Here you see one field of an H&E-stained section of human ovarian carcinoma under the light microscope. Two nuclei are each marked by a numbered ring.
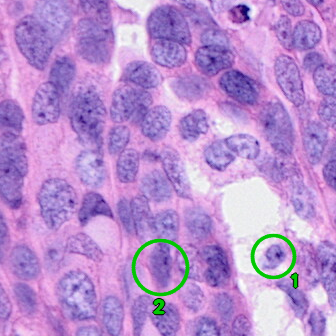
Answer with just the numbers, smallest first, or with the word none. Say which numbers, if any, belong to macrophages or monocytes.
1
